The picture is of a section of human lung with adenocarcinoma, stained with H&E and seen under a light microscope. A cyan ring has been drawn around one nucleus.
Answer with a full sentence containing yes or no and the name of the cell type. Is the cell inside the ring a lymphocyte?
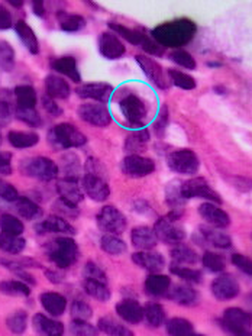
Yes, the cell inside the ring has been classified as a lymphocyte.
